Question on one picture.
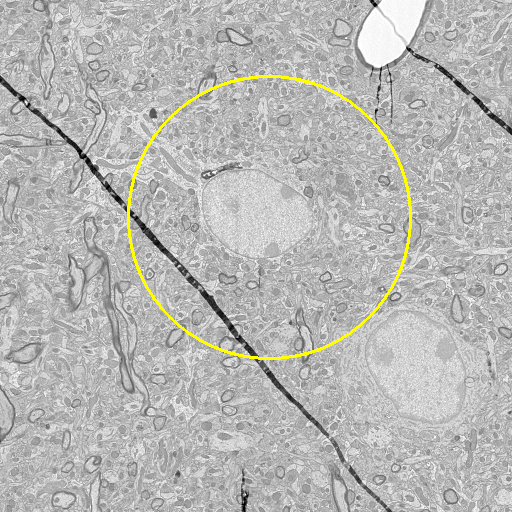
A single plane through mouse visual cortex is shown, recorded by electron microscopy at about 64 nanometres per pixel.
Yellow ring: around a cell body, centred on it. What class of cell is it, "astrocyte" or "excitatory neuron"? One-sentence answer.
This is an astrocyte, the cell the ring is centred on.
